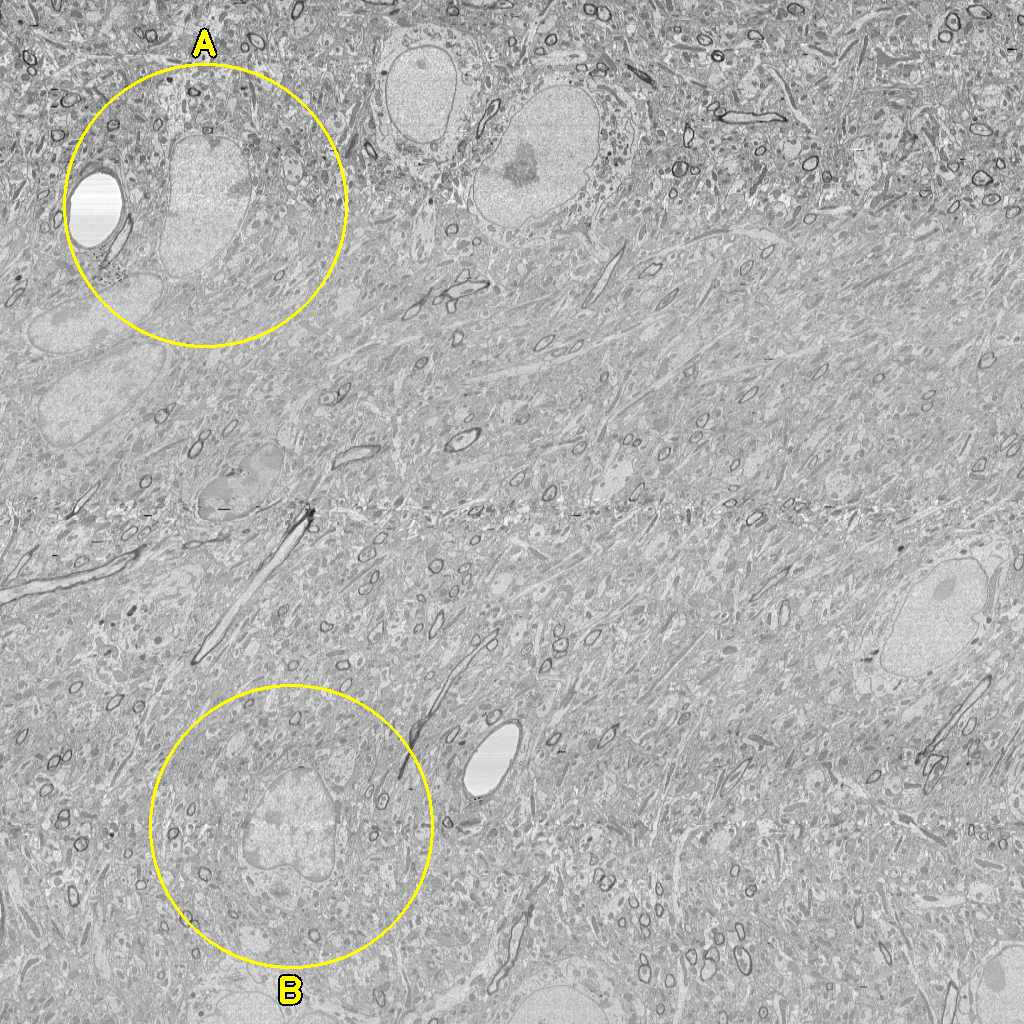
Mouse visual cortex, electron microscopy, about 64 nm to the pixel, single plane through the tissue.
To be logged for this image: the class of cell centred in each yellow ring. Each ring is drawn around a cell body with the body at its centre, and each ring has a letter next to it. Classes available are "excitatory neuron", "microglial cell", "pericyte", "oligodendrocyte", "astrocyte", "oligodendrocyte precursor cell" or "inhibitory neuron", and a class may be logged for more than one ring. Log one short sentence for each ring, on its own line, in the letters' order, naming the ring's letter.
The class recorded for ring A is an astrocyte.
The class recorded for ring B is an oligodendrocyte.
